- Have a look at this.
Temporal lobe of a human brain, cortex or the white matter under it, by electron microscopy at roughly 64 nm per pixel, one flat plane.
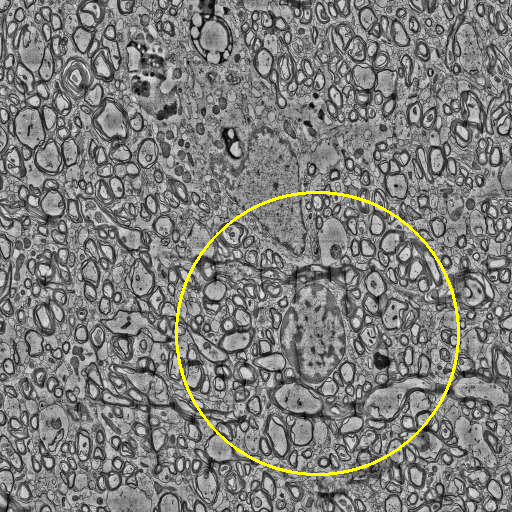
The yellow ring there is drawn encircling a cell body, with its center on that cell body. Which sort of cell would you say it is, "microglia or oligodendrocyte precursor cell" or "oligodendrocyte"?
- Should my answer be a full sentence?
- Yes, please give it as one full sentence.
For this picture, a microglial cell or oligodendrocyte precursor cell is the cell where the yellow ring has its center.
